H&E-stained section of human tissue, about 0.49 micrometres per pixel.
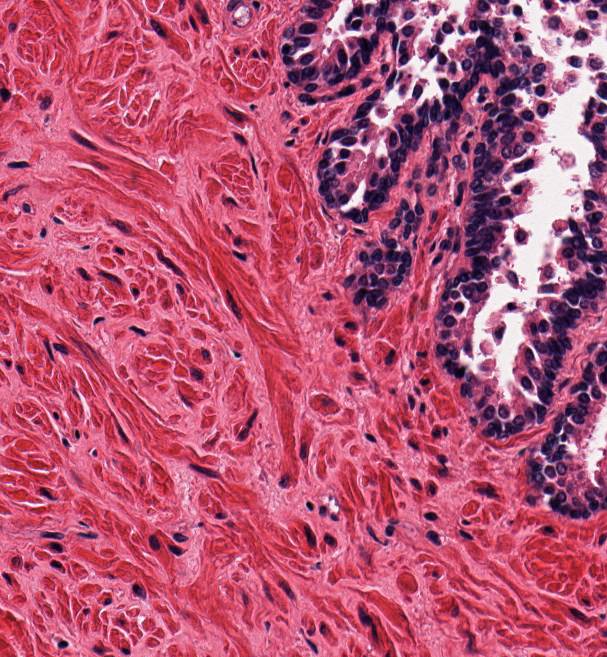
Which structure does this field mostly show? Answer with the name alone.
fibromuscular stroma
